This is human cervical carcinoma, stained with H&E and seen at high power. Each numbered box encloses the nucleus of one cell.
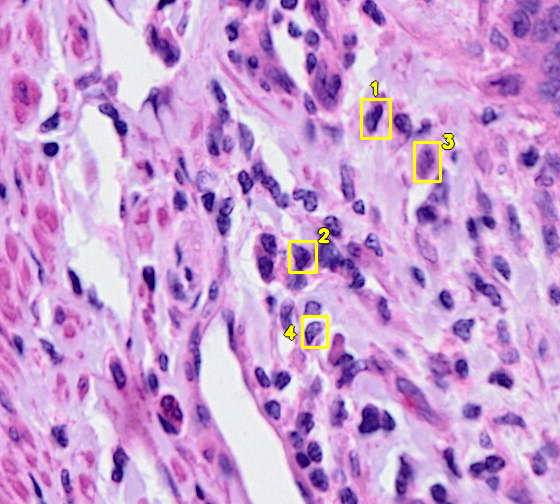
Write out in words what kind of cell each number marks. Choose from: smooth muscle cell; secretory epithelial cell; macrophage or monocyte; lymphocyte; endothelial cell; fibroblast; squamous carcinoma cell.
Cell 1 is a lymphocyte, cell 2 is a lymphocyte, cell 3 is a macrophage or monocyte and cell 4 is a lymphocyte.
